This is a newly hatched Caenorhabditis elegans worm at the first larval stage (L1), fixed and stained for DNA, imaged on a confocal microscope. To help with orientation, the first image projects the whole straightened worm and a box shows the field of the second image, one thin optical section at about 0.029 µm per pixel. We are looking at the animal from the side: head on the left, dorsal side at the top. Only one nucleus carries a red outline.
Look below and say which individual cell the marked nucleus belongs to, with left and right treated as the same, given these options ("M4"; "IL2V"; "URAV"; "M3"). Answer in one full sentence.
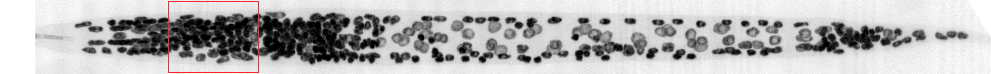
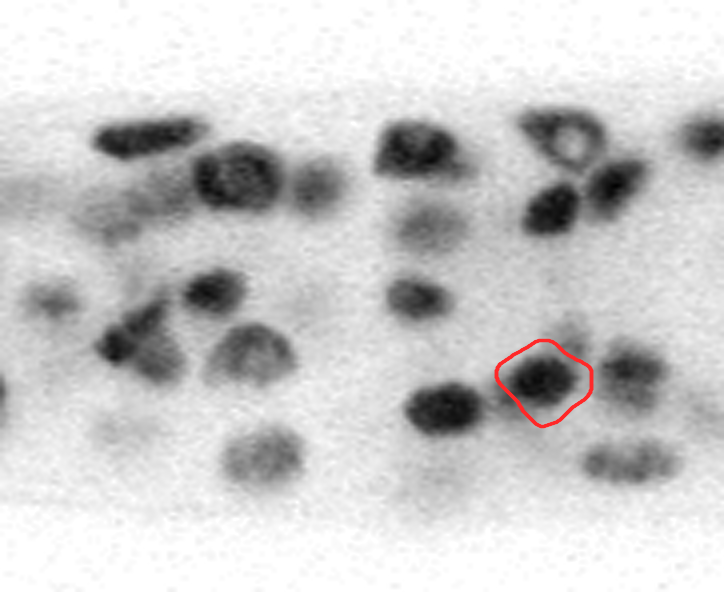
The marked nucleus belongs to URAV, a neuron.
